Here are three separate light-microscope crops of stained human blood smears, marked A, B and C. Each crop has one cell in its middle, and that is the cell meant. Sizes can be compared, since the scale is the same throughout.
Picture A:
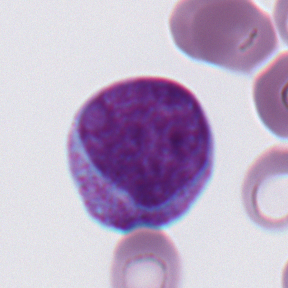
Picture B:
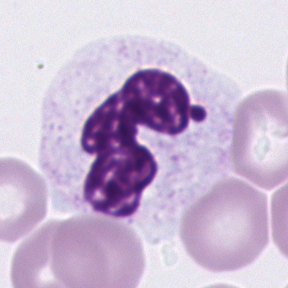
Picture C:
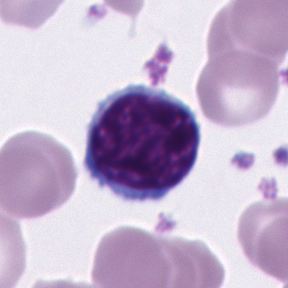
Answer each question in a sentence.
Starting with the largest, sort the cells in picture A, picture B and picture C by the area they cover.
Largest first: B, A, C.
